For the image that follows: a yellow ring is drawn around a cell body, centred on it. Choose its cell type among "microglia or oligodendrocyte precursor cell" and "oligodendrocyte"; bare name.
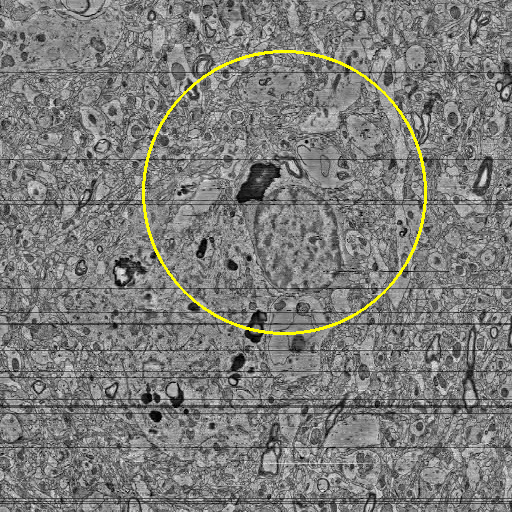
oligodendrocyte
